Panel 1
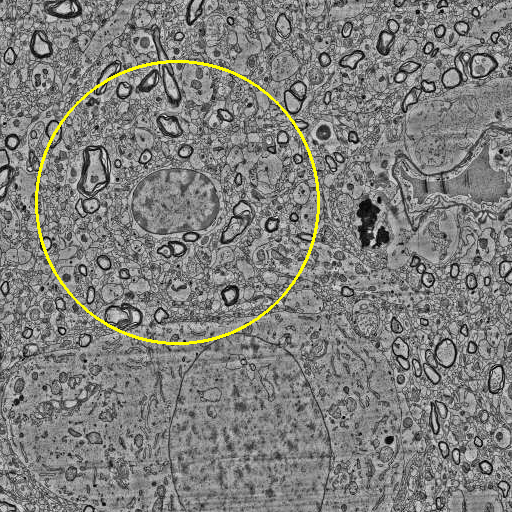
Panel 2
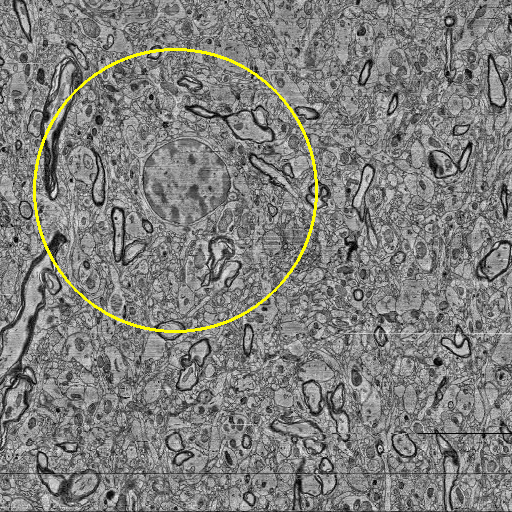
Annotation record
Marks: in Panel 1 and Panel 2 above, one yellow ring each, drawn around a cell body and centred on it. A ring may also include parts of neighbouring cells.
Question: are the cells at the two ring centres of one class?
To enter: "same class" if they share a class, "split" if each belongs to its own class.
same class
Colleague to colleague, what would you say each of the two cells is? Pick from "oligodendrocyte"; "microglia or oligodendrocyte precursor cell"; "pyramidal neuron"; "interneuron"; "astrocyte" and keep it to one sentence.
In both pictures the ring is centred on a microglial cell or oligodendrocyte precursor cell.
